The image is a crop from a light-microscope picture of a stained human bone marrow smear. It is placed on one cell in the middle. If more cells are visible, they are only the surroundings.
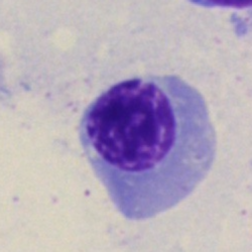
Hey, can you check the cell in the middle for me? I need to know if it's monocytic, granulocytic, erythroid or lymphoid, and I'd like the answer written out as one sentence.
The cell in the middle of the crop is considered part of the erythroid lineage.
